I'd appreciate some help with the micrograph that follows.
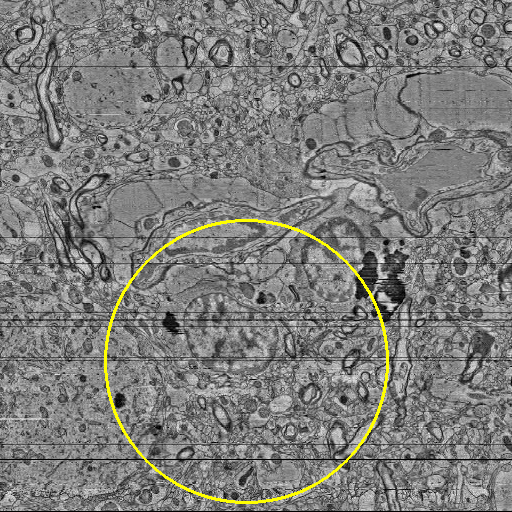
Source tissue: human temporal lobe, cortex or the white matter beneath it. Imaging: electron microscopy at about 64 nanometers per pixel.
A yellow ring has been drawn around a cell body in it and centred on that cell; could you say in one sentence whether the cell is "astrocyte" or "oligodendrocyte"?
It is an oligodendrocyte at the centre of the ring.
